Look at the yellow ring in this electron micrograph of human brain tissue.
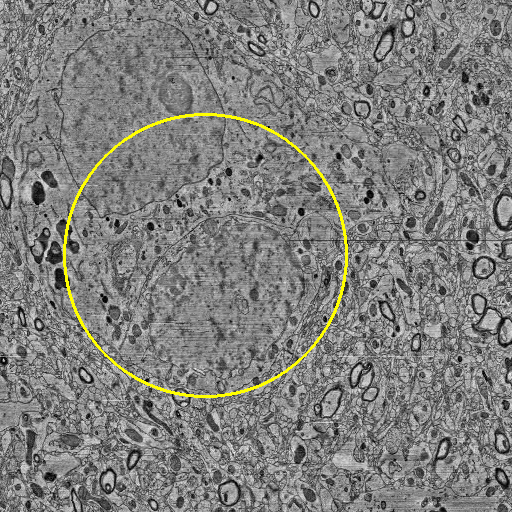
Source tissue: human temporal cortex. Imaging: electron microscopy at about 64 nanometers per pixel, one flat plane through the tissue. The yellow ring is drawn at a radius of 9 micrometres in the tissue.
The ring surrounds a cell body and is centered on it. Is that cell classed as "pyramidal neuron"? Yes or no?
No, it is of another kind.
